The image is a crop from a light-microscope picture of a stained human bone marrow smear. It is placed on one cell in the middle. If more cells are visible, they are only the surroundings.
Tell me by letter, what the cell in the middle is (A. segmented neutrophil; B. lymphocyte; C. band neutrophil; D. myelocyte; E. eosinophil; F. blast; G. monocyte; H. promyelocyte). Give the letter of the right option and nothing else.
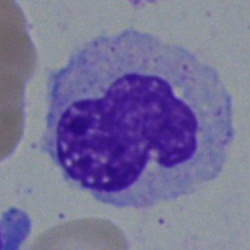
G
